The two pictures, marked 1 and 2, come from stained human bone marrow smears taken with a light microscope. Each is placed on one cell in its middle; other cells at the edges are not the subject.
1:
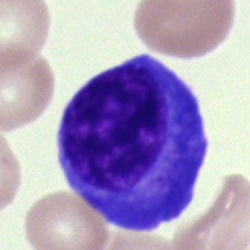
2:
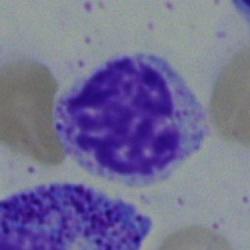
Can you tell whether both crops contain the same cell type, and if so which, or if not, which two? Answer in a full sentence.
No, a plasma cell lies at the centre of crop 1, and a myelocyte lies at the centre of crop 2.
